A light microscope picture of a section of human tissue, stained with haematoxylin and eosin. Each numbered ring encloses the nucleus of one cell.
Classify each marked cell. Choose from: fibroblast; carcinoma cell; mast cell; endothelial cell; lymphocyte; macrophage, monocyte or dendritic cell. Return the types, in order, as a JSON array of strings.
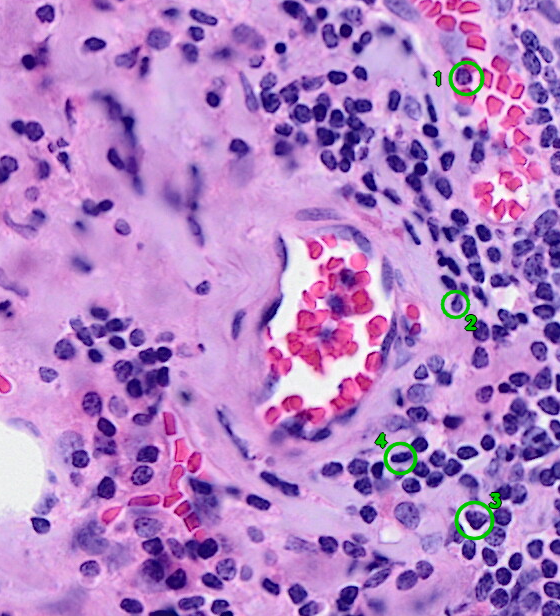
["endothelial cell", "lymphocyte", "lymphocyte", "lymphocyte"]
